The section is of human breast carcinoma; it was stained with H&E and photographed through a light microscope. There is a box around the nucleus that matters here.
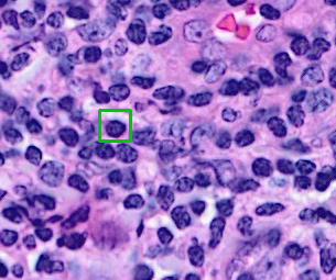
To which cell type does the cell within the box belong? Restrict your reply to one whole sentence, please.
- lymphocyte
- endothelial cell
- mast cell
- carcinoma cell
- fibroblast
Just put down that the cell within the box is a lymphocyte.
